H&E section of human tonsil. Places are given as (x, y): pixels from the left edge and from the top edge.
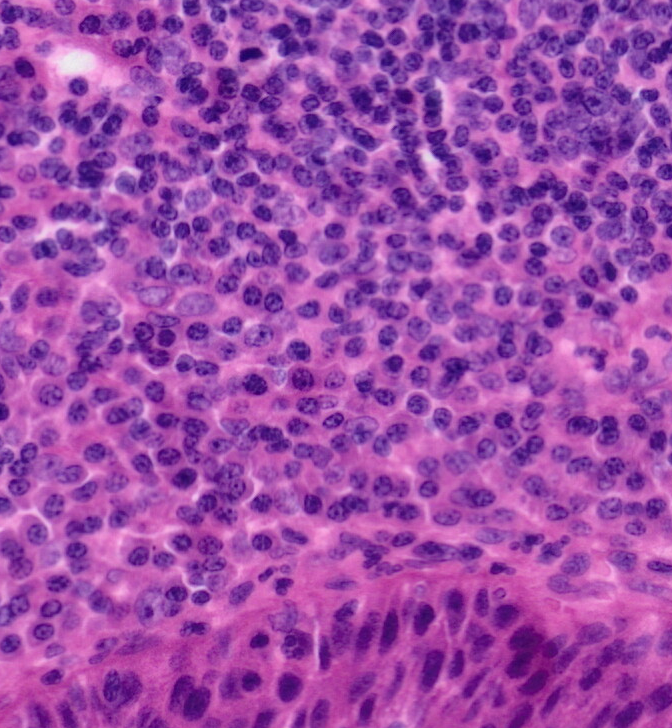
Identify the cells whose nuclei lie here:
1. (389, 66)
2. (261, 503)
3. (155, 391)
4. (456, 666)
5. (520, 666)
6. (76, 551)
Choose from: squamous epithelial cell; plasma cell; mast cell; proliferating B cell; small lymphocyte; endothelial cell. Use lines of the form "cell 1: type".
cell 1: small lymphocyte
cell 2: plasma cell
cell 3: plasma cell
cell 4: squamous epithelial cell
cell 5: squamous epithelial cell
cell 6: plasma cell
